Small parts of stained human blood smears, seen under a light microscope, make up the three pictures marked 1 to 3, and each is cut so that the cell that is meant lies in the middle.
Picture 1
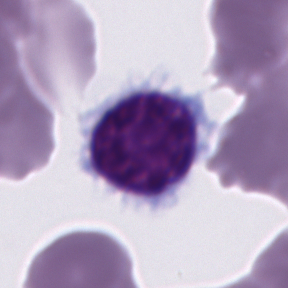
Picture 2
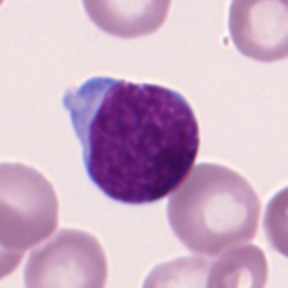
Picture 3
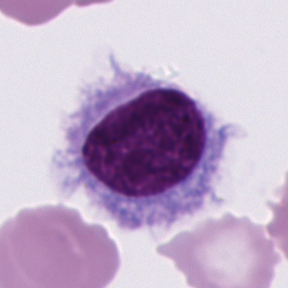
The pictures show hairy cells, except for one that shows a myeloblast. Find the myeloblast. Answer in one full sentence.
The myeloblast is the one in picture 2.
